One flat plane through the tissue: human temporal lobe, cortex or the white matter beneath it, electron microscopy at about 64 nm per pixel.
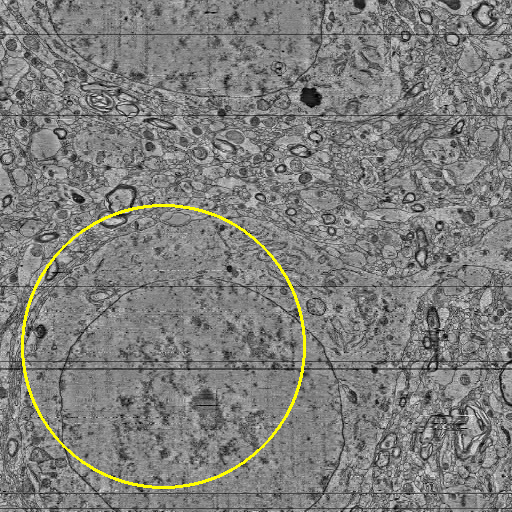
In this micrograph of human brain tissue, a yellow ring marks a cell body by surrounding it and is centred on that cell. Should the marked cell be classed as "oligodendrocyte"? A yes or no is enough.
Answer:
no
